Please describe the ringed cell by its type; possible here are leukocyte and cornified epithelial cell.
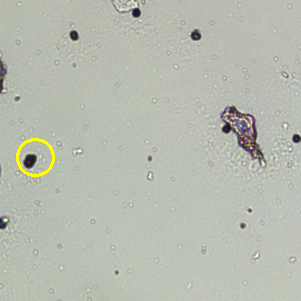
The yellow ring marks a leukocyte.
